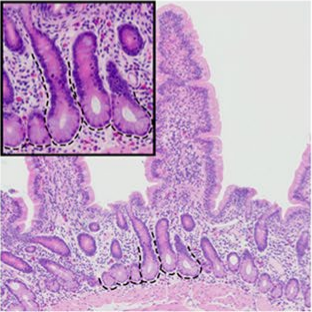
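This is the wall of the small intestine, with tall finger-like villi rising from the mucosa toward the lumen. Each villus is covered by a single continuous layer of tall columnar epithelial cells with pale pink cytoplasm and purple nuclei lined up near their bases. The core of each villus is a cellular lamina propria crowded with small dark nuclei. At the base of the mucosa, tubular glands outlined by dashed lines sit side by side, their cells stained more purple, just above a band of pink smooth muscle. The inset enlarges these basal glands, showing their epithelium arranged around narrow central lumens.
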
